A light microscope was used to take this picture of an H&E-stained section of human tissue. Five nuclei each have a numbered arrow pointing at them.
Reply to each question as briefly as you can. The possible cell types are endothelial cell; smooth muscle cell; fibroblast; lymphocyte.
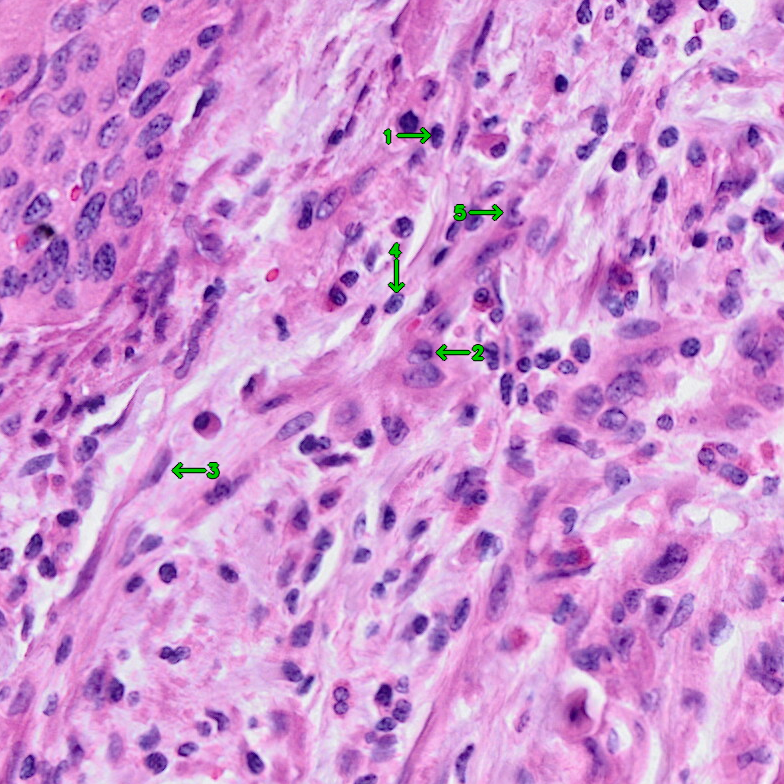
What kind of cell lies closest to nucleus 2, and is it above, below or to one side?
an endothelial cell below nucleus 2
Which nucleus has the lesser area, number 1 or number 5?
1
